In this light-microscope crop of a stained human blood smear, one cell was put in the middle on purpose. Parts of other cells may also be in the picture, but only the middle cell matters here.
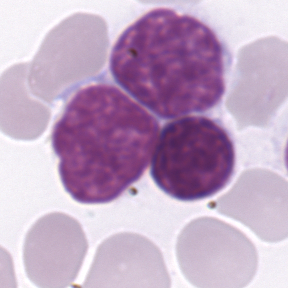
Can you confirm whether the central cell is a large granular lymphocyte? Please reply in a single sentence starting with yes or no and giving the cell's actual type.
No, in the centre of the crop lies a blast, not a large granular lymphocyte.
